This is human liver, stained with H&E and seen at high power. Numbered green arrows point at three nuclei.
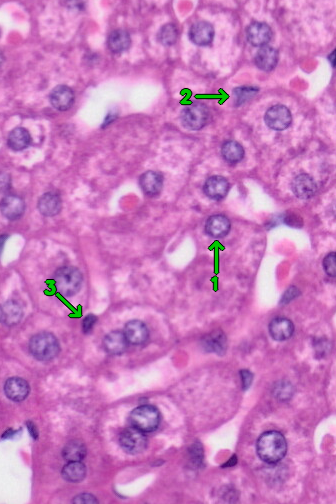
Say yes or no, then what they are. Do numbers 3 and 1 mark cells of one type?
No, cell 3 is to be identified as a fibroblast or stellate cell and cell 1 as a hepatocyte.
